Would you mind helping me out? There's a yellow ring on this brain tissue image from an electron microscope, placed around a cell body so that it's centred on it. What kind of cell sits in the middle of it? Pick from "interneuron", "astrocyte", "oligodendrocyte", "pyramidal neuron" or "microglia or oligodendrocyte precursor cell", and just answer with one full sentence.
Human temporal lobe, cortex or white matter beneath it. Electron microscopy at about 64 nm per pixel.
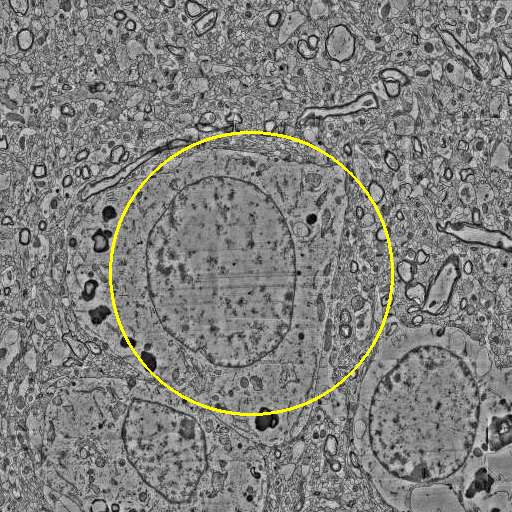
What sits in the middle of that yellow ring is a pyramidal neuron, from your choices.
